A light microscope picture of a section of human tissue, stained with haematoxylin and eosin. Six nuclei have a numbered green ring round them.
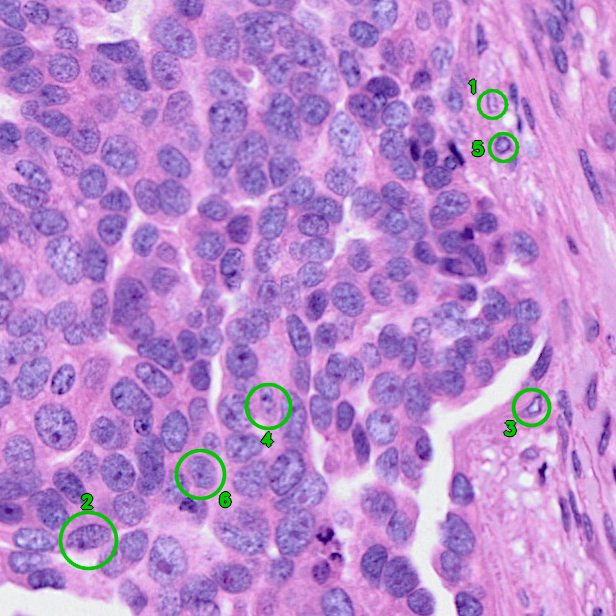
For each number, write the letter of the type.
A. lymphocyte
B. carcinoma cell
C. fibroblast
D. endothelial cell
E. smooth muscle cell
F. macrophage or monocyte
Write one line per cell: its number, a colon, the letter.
1: C
2: B
3: C
4: F
5: C
6: B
